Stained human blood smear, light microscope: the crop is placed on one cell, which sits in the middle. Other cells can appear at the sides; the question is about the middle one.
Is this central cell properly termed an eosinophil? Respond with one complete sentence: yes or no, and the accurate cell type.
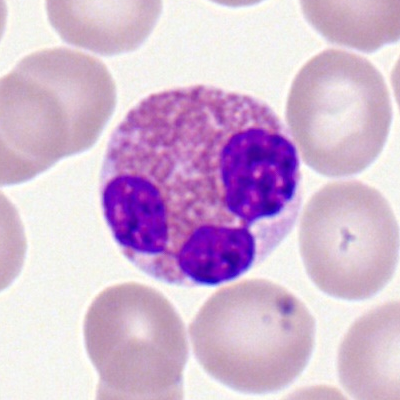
Yes, this is an eosinophil, the cell in the middle of the crop.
